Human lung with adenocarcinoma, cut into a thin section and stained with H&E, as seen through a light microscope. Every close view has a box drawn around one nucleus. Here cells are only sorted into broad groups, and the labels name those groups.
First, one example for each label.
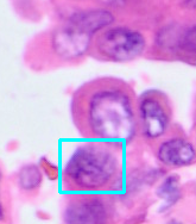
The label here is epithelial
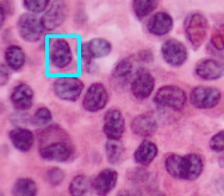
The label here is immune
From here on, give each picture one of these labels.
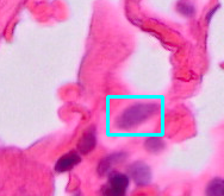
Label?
epithelial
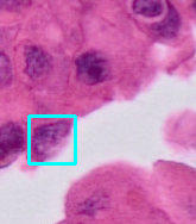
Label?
epithelial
